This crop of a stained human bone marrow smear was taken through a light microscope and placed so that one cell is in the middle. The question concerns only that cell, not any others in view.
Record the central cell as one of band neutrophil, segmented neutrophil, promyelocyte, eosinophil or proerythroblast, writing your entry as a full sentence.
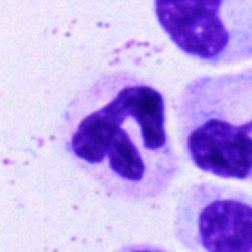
In the middle of this smear crop, the cell is a segmented neutrophil.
